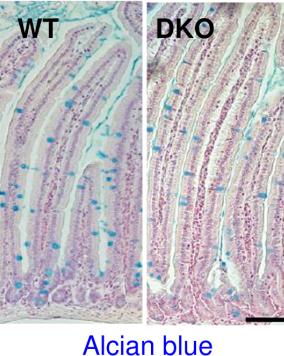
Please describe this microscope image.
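This is small intestinal mucosa with tall, finger-like villi lined by a single layer of columnar epithelium whose nuclei stain pinkish-red, with crypts at the base. Goblet cells stand out as bright blue, rounded mucin-filled cups scattered singly among the columnar cells along the villi and near the crypts.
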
